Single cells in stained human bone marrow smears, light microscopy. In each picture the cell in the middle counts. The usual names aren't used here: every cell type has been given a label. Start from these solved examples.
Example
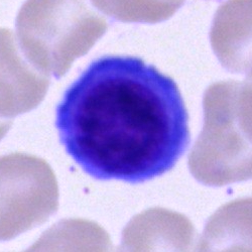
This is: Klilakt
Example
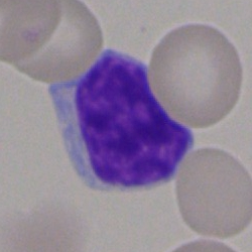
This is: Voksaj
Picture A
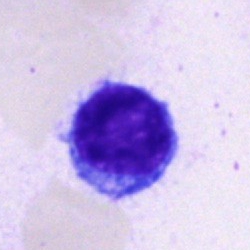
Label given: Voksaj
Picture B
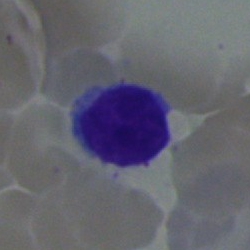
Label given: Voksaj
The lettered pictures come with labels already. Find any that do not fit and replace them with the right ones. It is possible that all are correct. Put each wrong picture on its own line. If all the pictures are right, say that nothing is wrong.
None of the labels needs changing.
